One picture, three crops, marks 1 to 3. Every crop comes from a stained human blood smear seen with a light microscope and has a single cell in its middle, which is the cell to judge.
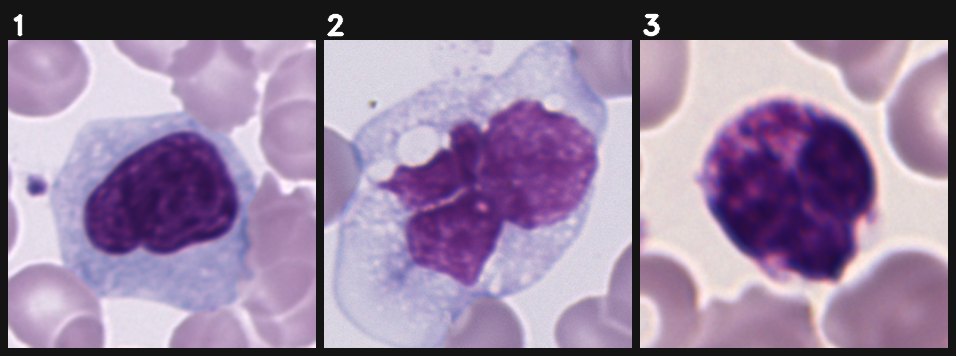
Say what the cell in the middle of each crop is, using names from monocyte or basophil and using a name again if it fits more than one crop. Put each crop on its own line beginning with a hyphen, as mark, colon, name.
- 1: monocyte
- 2: monocyte
- 3: basophil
